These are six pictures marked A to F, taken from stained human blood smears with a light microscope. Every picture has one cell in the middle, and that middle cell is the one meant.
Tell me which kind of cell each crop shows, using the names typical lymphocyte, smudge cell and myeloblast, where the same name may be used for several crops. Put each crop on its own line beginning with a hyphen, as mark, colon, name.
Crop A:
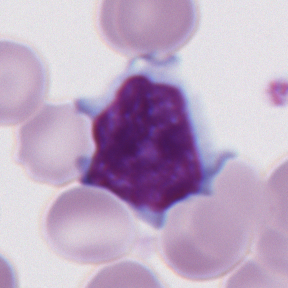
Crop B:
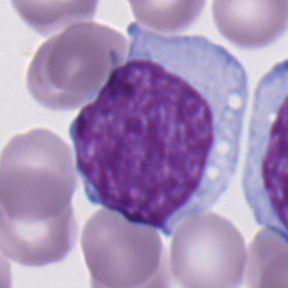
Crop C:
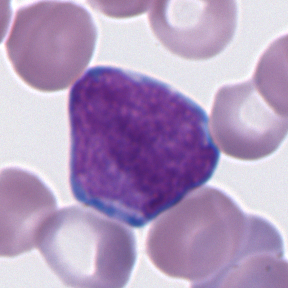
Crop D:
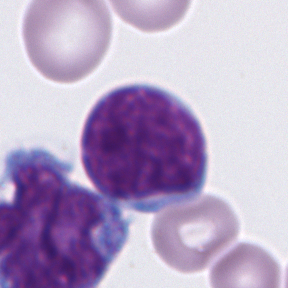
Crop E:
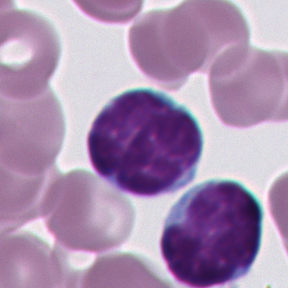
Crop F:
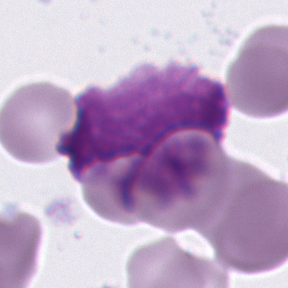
- A: typical lymphocyte
- B: myeloblast
- C: myeloblast
- D: myeloblast
- E: typical lymphocyte
- F: smudge cell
